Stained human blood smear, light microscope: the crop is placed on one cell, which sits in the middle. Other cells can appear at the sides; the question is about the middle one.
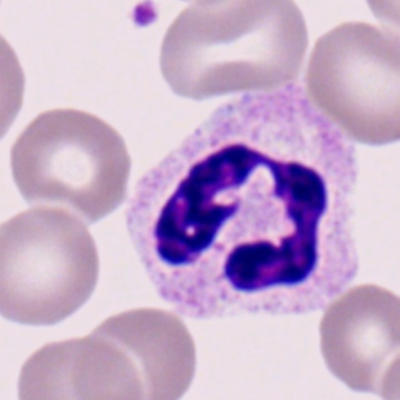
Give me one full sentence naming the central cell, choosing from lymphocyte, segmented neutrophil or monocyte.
Centrally within this crop lies a segmented neutrophil.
